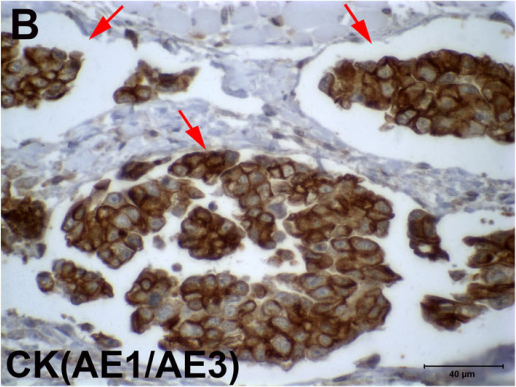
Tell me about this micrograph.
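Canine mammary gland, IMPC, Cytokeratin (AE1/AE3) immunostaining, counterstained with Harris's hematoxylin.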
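The cells are polygonal and packed in cohesive clusters, with strongly brown cytoplasm and crisp brown cell borders around large, round, pale nuclei. Each cluster floats in a clear empty space that separates it from the pale blue fibrous stroma. The stroma between the nests contains scattered unstained spindle cells.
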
